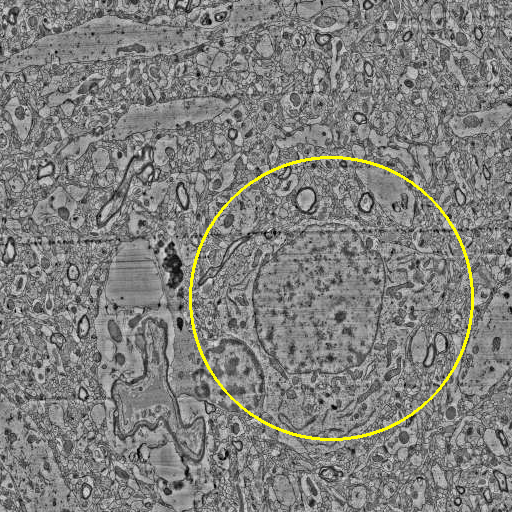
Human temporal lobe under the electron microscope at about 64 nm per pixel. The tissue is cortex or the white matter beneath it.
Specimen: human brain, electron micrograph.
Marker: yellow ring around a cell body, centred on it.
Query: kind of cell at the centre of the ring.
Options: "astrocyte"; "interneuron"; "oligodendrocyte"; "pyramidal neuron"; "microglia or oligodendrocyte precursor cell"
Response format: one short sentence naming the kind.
This cell body belongs to an interneuron.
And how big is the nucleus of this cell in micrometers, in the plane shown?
About 9 micrometres across, as seen in this plane.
